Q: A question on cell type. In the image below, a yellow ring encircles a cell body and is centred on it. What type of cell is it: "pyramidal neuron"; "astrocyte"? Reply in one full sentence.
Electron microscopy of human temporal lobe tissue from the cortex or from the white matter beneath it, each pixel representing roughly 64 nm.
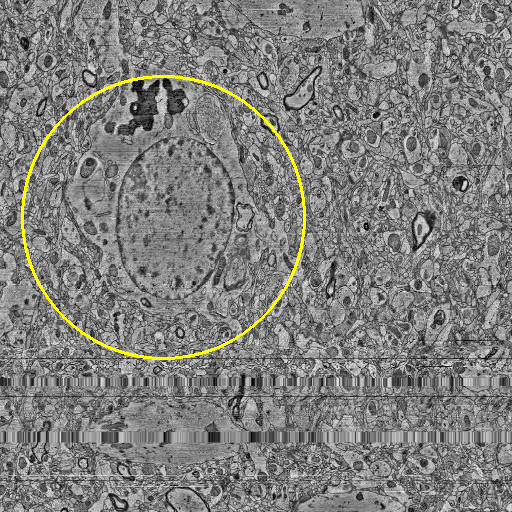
It is an astrocyte whose cell body sits at the centre of the yellow ring in the image.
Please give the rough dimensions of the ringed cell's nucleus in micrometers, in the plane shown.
In this plane, roughly 11 by 7 micrometres.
